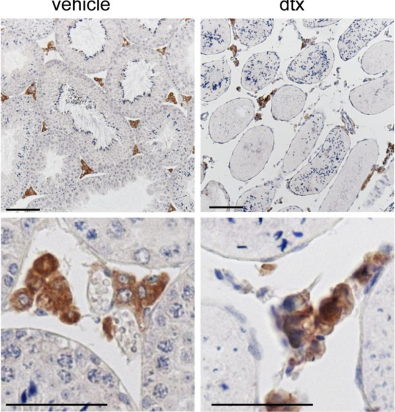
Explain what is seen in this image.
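Testis sections with brown-stained clusters of polygonal Leydig cells lying in the triangular interstitial spaces between seminiferous tubules. At higher magnification the stained cells have round nuclei and abundant brown cytoplasm. In the right-hand images the tubules are pale and sparsely cellular, and stained interstitial cells are fewer.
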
